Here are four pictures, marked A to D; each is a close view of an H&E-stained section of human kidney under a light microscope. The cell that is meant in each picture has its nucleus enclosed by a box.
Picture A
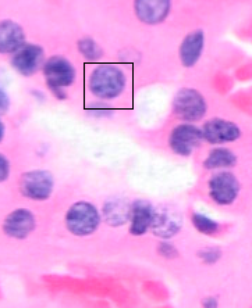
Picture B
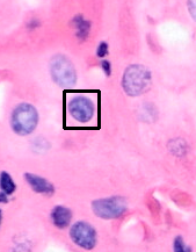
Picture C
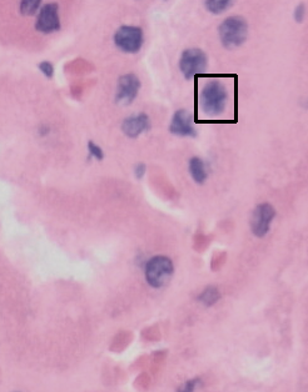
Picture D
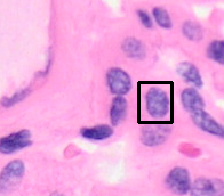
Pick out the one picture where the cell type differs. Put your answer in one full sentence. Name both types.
Unlike the rest, which show collecting duct cells, picture C shows a “loop of Henle or distal tubule cell”.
